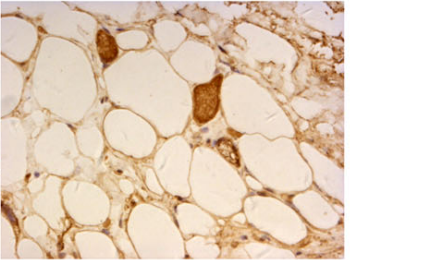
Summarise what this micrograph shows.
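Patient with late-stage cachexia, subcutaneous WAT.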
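Most are still clear, rounded or irregular spaces with thin brown borders. A few small cells are instead filled throughout with dense brown-stained cytoplasm, so they stand out as solid dark-brown bodies among the empty ones. The tissue between the adipocytes is wider than in ordinary fat. It holds pale brownish fibrous material and scattered small bluish nuclei. Overall the fat looks reduced, with loosened stroma.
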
